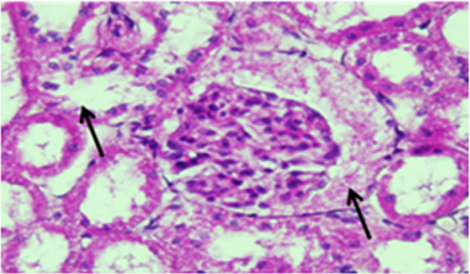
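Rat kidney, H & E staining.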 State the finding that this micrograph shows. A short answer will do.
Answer: renal tubular degeneration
